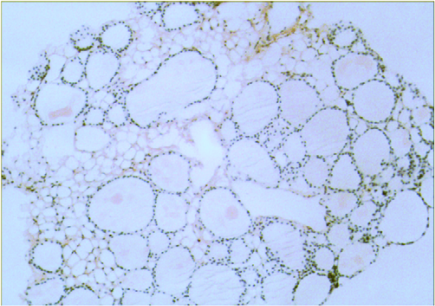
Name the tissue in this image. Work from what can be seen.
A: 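Round follicles of varied size filled with pale homogeneous material. Each follicle is lined by a single layer of flat to cuboidal cells with dark nuclei.
Conclusion: thyroid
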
